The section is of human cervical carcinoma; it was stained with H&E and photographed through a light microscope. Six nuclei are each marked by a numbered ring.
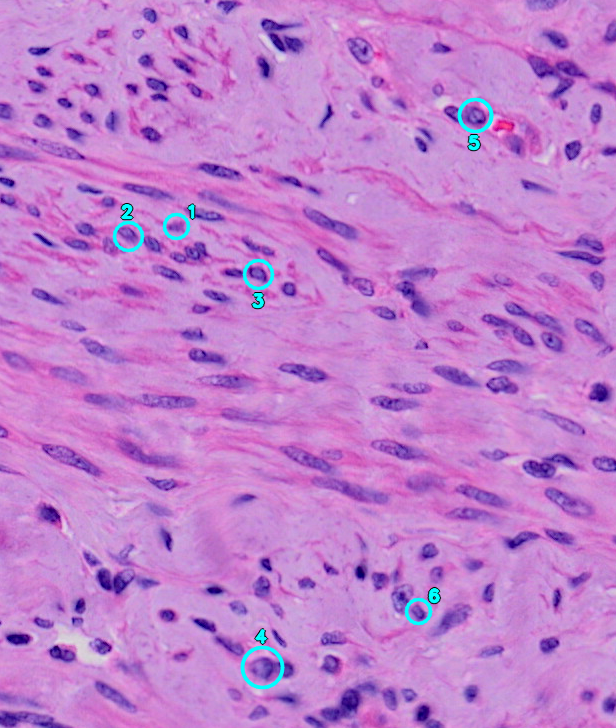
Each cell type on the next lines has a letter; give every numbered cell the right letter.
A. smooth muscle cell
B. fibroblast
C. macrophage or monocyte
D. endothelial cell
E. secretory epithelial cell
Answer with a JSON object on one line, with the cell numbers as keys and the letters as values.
{"1": "A", "2": "A", "3": "A", "4": "D", "5": "D", "6": "A"}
